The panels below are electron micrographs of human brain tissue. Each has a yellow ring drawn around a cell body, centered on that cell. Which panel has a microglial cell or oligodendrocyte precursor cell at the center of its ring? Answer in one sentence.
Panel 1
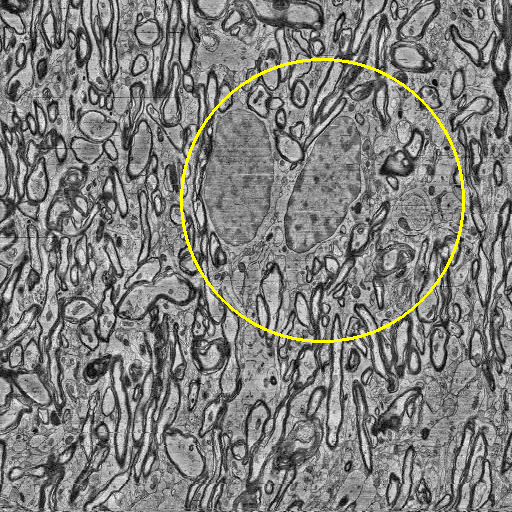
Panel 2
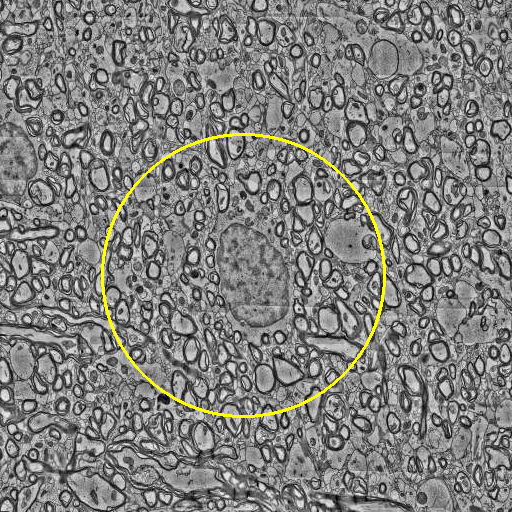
Panel 1 has it at the center of its ring.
